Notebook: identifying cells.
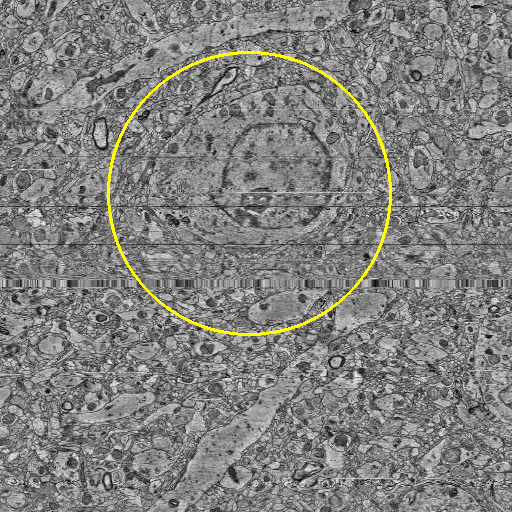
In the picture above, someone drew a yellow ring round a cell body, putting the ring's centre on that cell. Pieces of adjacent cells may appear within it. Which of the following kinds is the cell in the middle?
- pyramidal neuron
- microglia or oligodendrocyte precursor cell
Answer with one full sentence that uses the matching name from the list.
In this picture, the yellow ring is centred on the body of a pyramidal neuron.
